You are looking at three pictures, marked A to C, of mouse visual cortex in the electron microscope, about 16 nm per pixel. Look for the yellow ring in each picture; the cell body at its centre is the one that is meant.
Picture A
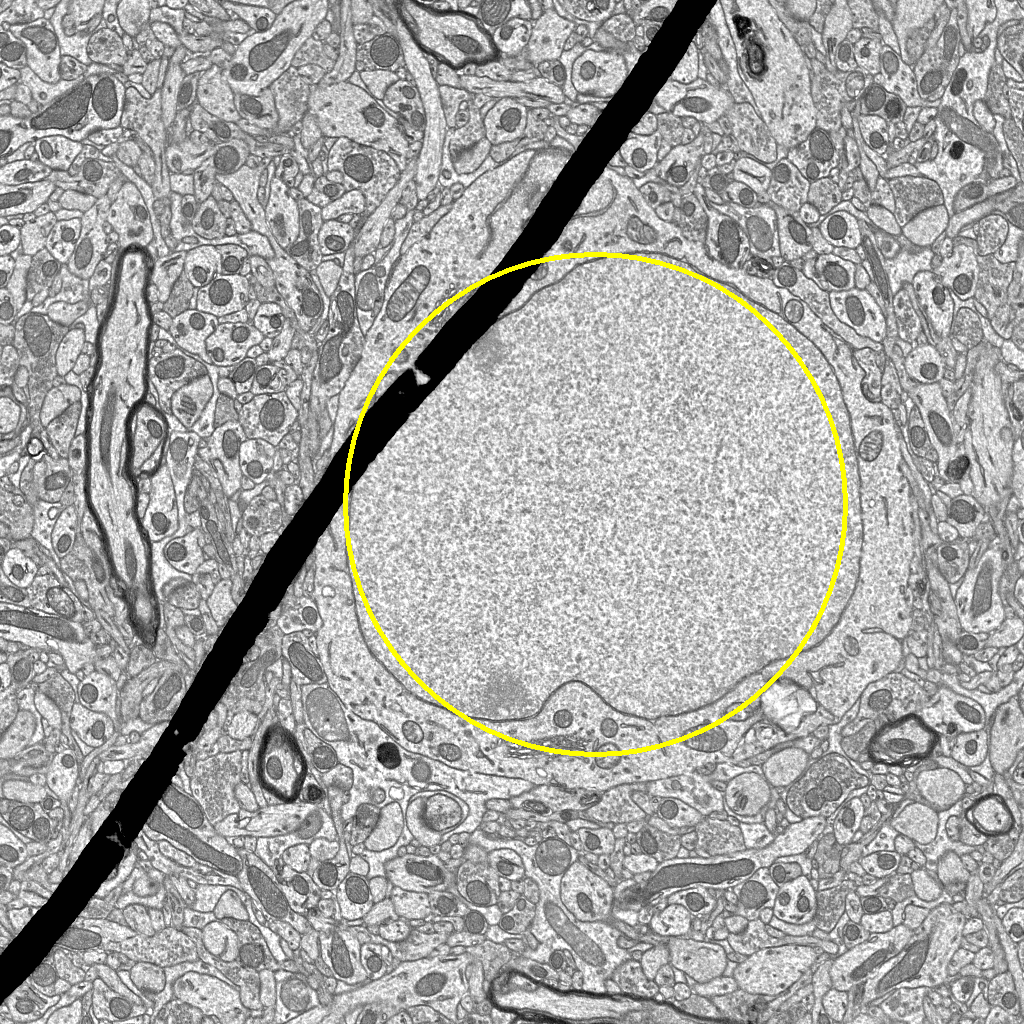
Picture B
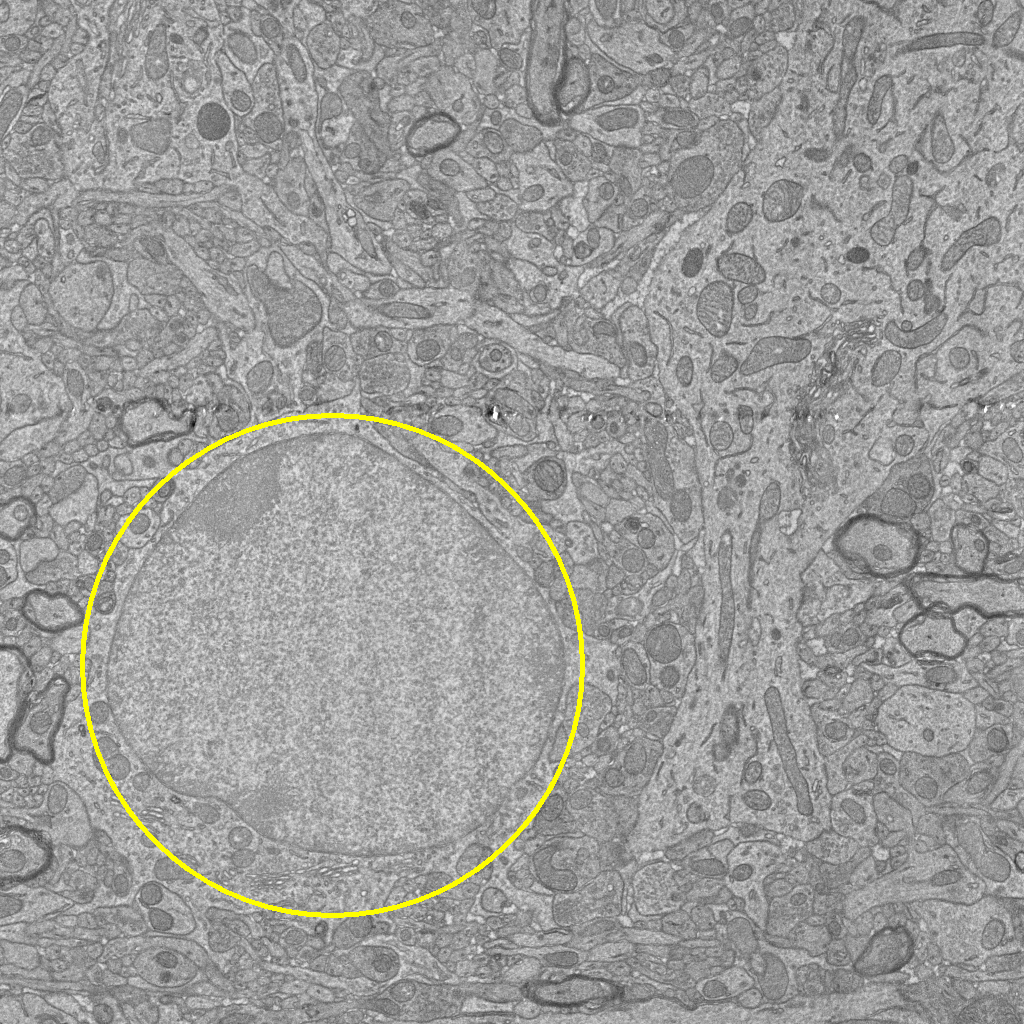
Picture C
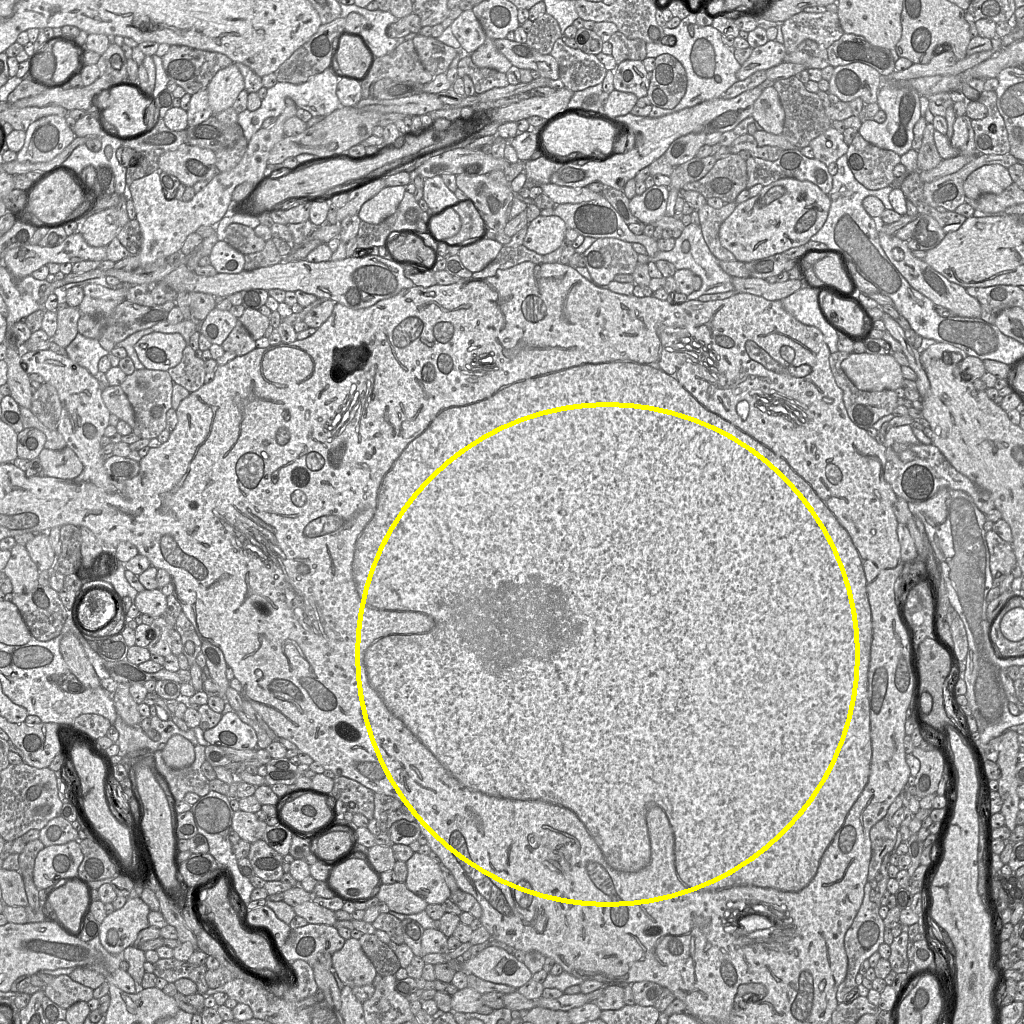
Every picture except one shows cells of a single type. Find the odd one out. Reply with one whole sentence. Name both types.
Picture B is the odd one out: it shows an astrocyte, while the others show excitatory neurons.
